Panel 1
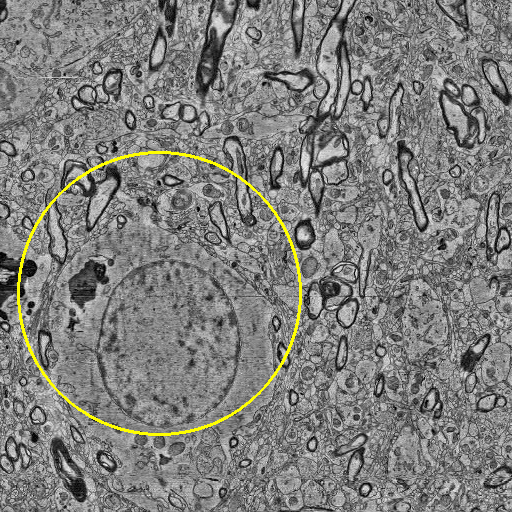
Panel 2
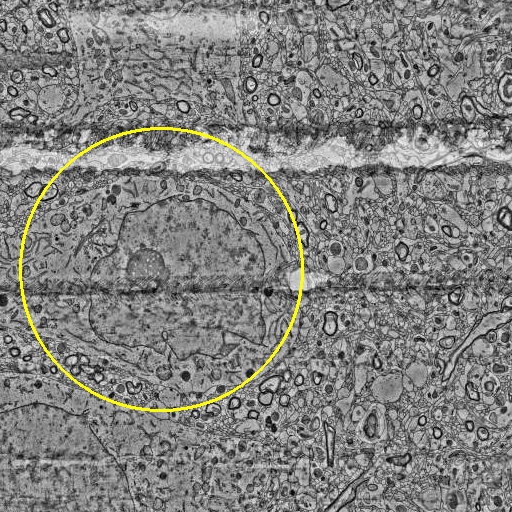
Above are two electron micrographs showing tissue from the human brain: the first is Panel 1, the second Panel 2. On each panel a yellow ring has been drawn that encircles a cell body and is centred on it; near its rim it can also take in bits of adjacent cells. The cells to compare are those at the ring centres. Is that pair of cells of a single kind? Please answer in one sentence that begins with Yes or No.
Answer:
No, the ring-centred cells of Panel 1 and Panel 2 belong to two kinds.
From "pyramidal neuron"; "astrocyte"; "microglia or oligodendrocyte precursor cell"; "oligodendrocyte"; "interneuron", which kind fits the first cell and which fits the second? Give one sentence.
The cell marked in the first picture is an astrocyte, and the one marked in the second is an interneuron.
